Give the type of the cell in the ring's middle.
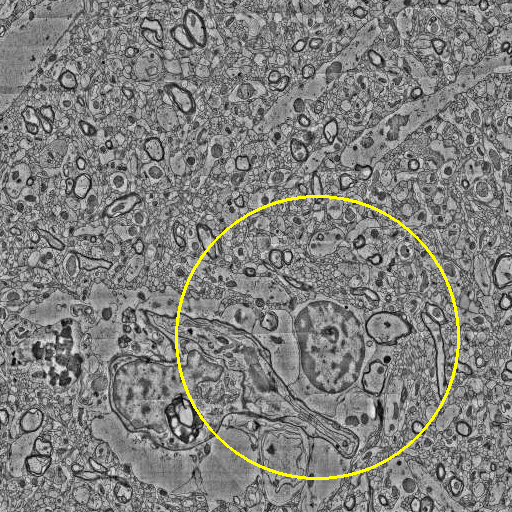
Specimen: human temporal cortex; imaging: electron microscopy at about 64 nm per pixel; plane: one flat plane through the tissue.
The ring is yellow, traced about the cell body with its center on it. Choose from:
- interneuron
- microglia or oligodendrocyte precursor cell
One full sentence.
Here, a microglial cell or oligodendrocyte precursor cell is the cell lying at the center of the yellow ring.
